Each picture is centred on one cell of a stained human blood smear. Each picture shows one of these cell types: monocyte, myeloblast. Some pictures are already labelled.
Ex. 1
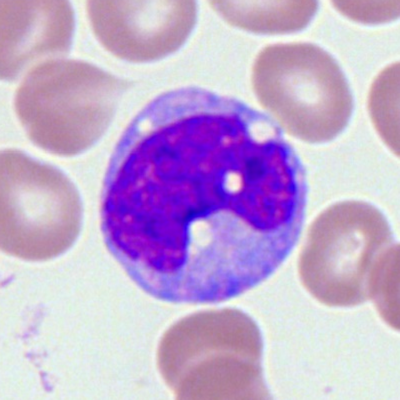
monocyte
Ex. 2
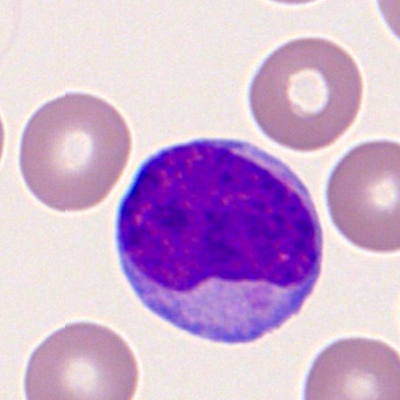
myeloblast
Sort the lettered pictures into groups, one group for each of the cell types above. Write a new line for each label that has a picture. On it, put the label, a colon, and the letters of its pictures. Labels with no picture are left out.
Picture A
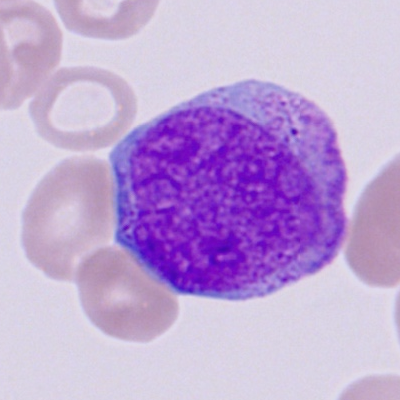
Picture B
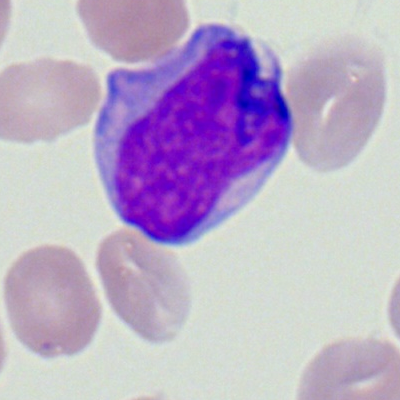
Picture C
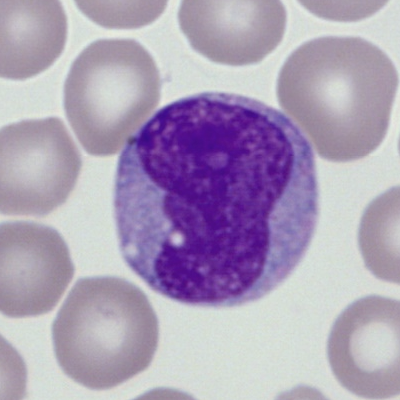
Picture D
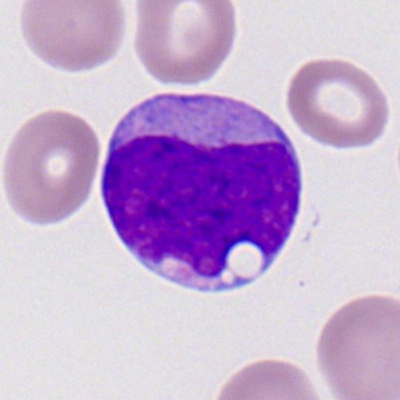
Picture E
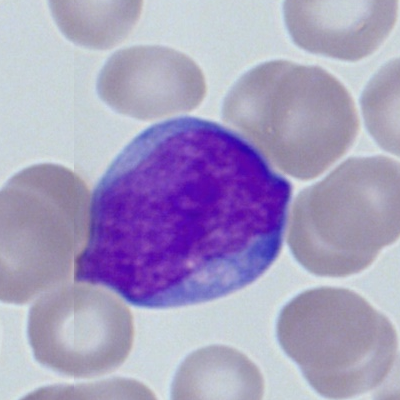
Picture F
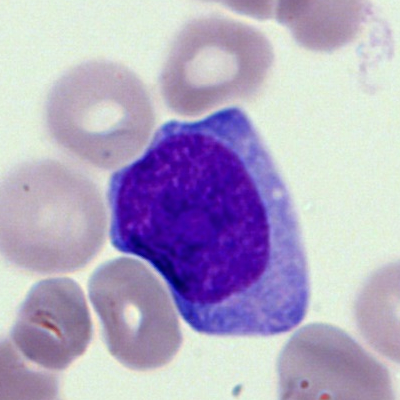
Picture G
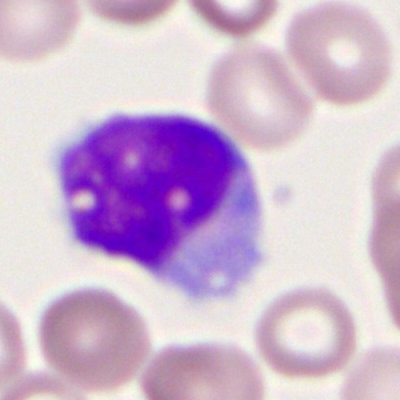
monocyte: C, G
myeloblast: A, B, D, E, F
